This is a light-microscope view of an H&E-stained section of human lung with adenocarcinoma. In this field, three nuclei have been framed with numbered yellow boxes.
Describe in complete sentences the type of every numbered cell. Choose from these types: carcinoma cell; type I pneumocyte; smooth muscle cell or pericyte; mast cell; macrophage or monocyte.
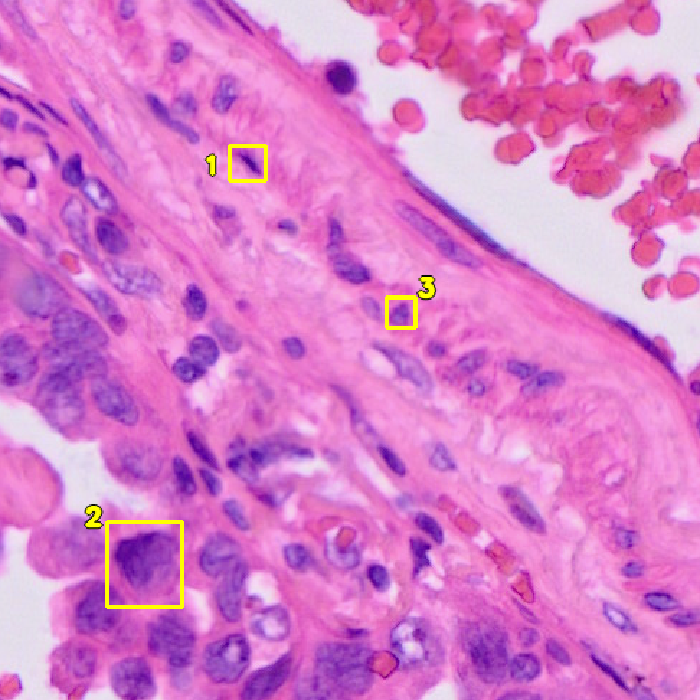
Cells 1 and 3 are smooth muscle cells or pericytes. Cell 2 is a carcinoma cell.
